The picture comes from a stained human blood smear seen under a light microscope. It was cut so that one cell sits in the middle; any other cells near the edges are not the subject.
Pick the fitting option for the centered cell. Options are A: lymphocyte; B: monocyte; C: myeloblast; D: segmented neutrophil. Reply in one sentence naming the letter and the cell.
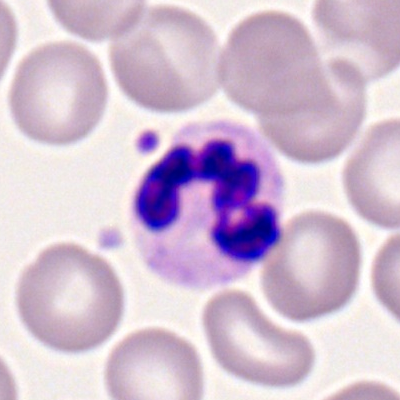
The best answer is option D, since the cell in the middle is a segmented neutrophil.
